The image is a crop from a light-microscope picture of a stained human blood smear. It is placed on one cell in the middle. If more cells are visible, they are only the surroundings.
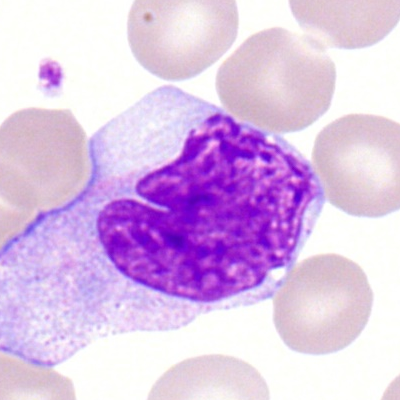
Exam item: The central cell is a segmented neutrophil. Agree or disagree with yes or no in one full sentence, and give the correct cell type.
No, the centrally placed cell is a monocyte, not a segmented neutrophil.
